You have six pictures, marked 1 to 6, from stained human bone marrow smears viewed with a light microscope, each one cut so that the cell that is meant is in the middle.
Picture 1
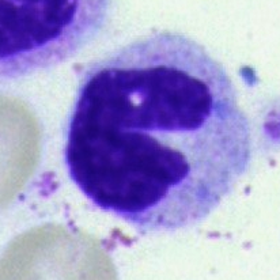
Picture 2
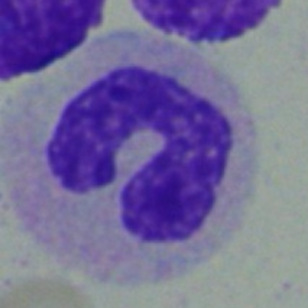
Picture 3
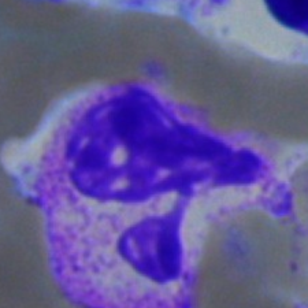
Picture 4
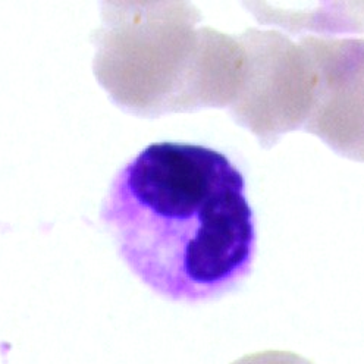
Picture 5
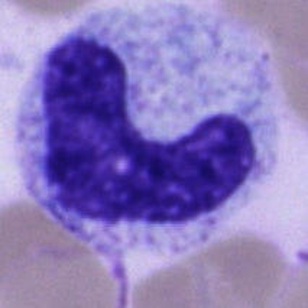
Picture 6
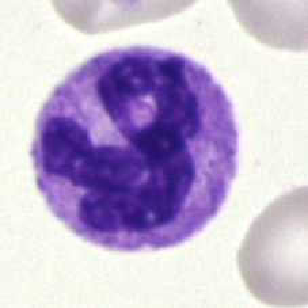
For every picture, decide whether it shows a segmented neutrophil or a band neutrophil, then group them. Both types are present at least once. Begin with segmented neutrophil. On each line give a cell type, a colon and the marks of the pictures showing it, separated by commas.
segmented neutrophil: 3, 4, 6
band neutrophil: 1, 2, 5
